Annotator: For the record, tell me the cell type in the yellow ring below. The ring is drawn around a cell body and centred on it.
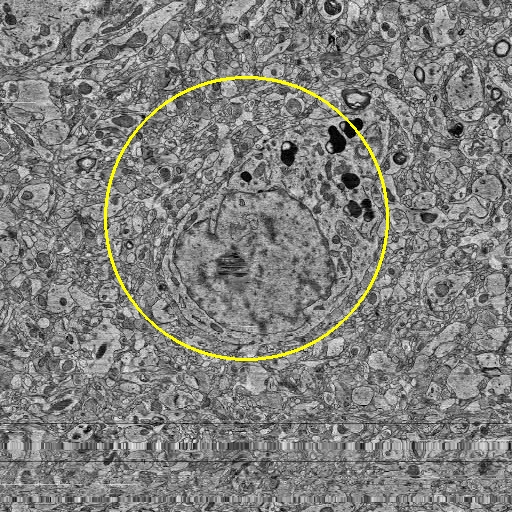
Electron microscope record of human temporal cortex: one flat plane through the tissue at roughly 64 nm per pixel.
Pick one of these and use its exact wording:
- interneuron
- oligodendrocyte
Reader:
interneuron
